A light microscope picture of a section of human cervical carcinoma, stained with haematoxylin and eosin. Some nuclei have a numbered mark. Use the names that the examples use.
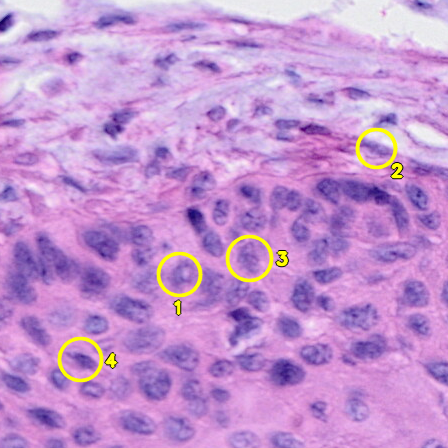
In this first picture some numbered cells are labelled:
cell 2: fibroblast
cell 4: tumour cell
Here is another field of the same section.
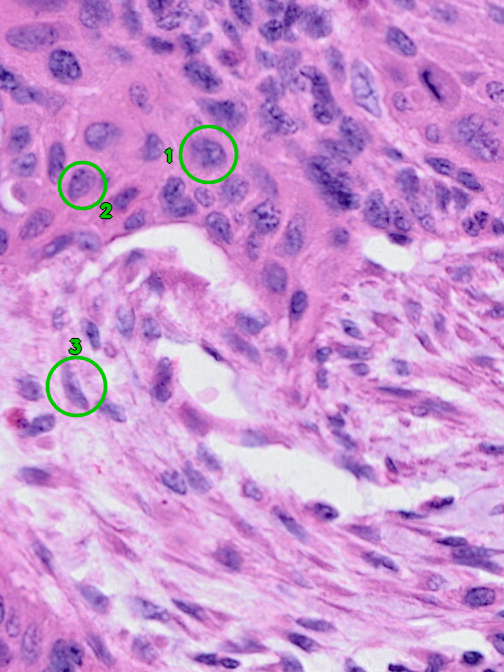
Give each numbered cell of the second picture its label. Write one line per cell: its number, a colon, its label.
1: tumour cell
2: tumour cell
3: fibroblast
